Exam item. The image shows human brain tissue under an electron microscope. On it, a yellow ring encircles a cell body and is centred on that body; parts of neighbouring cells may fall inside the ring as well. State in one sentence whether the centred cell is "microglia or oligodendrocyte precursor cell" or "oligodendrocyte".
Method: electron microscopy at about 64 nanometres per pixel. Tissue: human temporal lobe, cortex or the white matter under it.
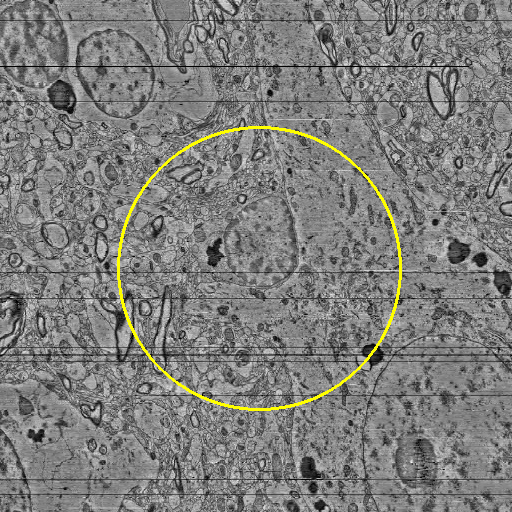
The cell body centred in the ring is an oligodendrocyte.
